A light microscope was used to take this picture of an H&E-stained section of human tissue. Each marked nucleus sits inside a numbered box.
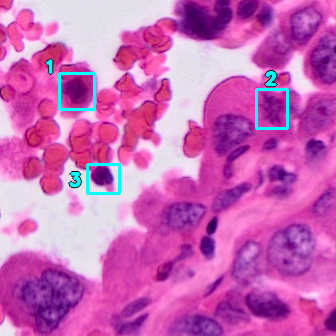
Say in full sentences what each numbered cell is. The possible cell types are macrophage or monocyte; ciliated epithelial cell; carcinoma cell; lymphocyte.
Cell 1 is a macrophage or monocyte, cell 2 is a carcinoma cell and cell 3 is a lymphocyte.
